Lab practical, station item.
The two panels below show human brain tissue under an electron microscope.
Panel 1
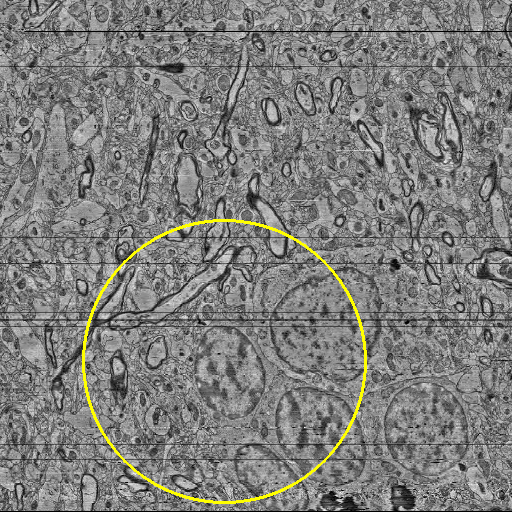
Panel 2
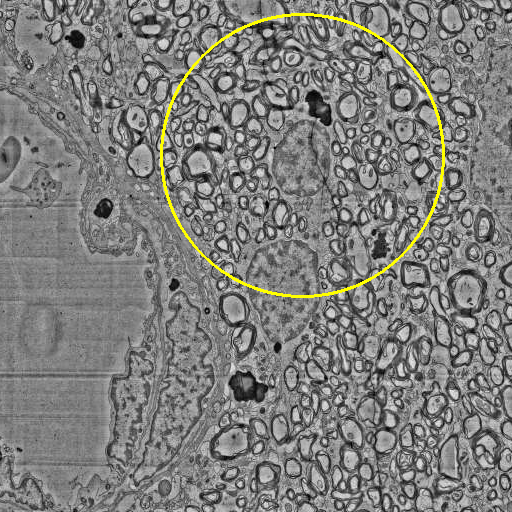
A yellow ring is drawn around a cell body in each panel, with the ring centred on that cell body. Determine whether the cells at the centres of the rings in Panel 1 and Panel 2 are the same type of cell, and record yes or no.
yes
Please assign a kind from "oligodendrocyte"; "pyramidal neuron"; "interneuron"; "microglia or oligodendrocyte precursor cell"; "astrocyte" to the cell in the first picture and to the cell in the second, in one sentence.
Each of the two pictures has an oligodendrocyte at the ring centre.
